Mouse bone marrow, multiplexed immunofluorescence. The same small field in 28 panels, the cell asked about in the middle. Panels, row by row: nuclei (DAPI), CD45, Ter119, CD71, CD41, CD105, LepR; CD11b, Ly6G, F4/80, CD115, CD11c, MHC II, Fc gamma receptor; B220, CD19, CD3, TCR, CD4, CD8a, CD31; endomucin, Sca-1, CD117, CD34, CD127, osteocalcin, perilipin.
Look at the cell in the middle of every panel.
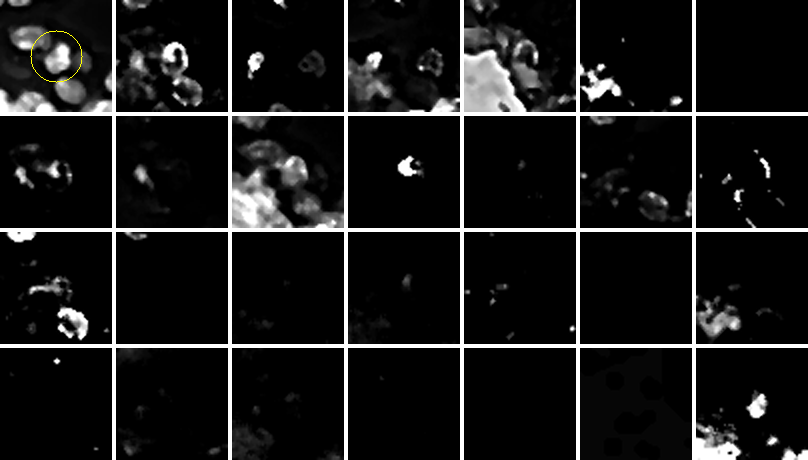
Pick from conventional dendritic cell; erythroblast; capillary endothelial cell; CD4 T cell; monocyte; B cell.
monocyte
